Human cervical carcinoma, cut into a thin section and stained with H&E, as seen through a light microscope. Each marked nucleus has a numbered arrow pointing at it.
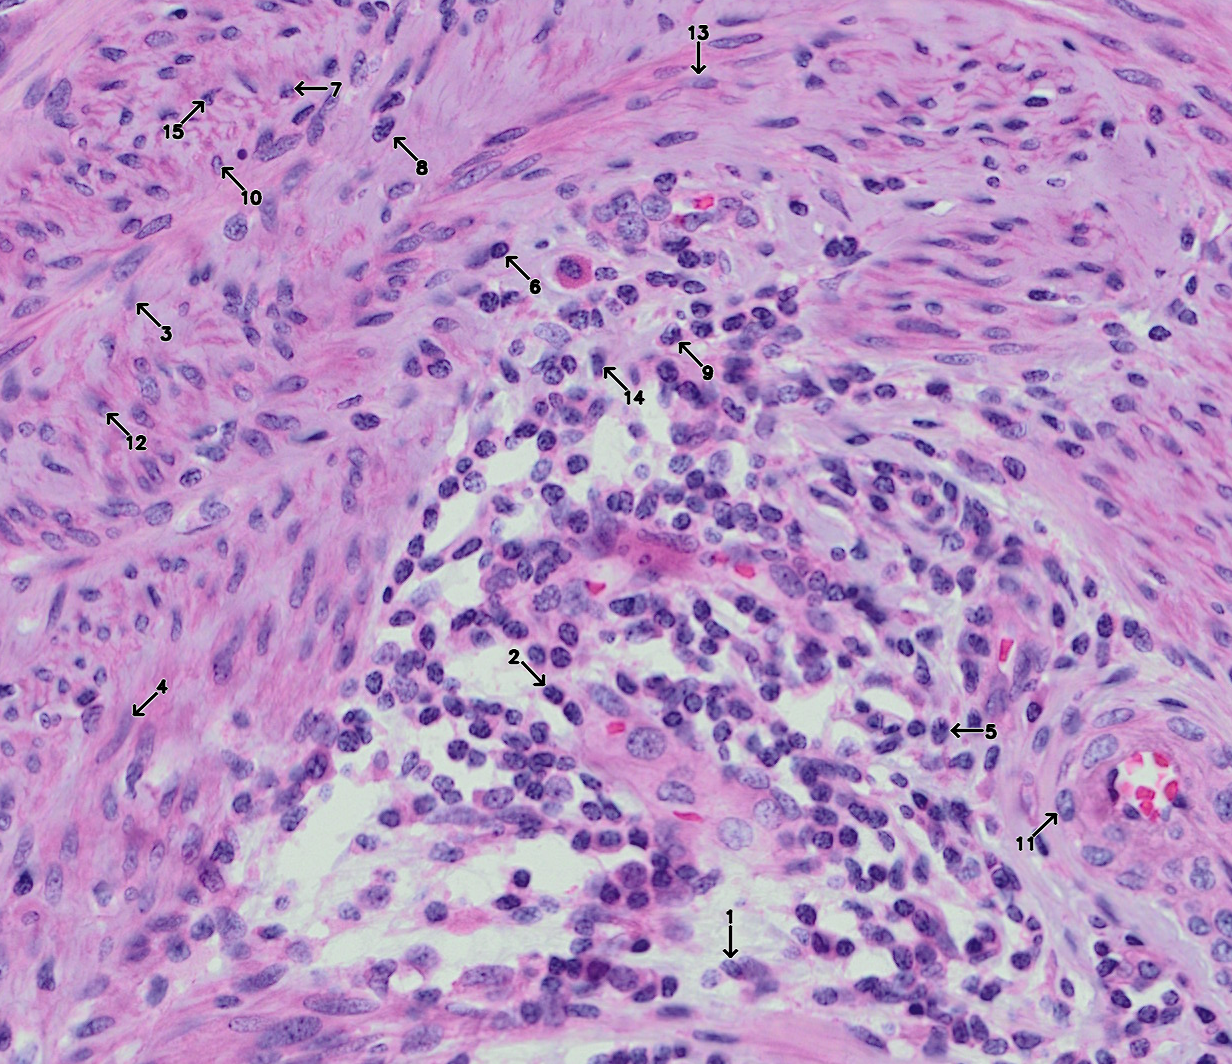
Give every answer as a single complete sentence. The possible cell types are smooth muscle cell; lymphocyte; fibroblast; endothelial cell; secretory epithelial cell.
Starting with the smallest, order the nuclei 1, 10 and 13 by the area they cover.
Smallest first, the nuclei run 10, 1, 13.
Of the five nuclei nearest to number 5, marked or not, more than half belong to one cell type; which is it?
Most of the five nuclei nearest to number 5 are those of lymphocytes.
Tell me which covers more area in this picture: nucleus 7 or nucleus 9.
The larger nucleus is 9, at roughly 2 times the area of 7.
